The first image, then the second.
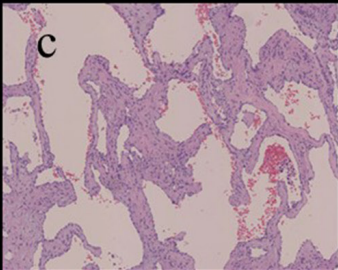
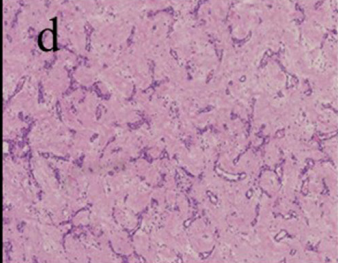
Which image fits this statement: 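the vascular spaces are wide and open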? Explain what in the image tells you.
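The first image. Second image: the channels are small, slit-like or collapsed within pale stroma.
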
